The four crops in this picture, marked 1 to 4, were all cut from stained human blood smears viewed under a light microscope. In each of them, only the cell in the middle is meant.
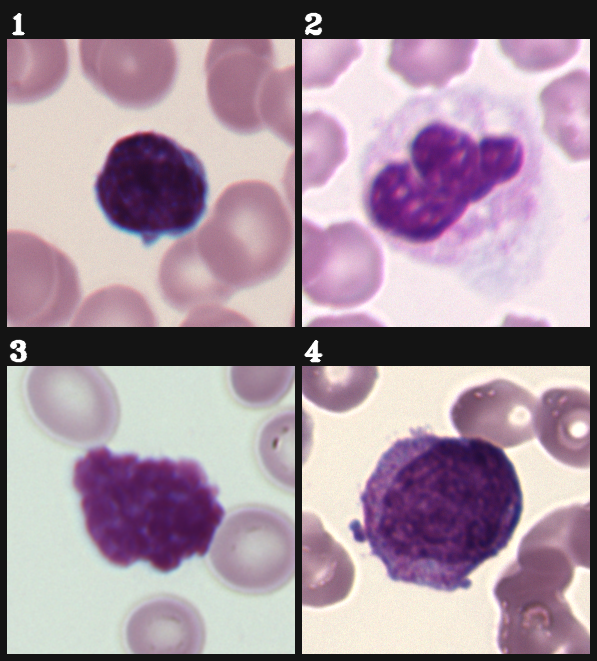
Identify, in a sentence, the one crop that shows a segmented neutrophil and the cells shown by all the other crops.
While crop 1 is a typical lymphocyte, crop 3 is a smudge cell and crop 4 is an atypical promyelocyte, crop 2 shows a segmented neutrophil.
